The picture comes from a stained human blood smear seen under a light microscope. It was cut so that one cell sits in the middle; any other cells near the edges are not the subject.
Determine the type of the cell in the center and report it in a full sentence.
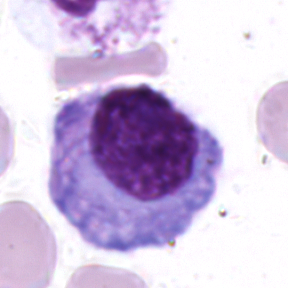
The center cell of this crop is a plasma cell.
